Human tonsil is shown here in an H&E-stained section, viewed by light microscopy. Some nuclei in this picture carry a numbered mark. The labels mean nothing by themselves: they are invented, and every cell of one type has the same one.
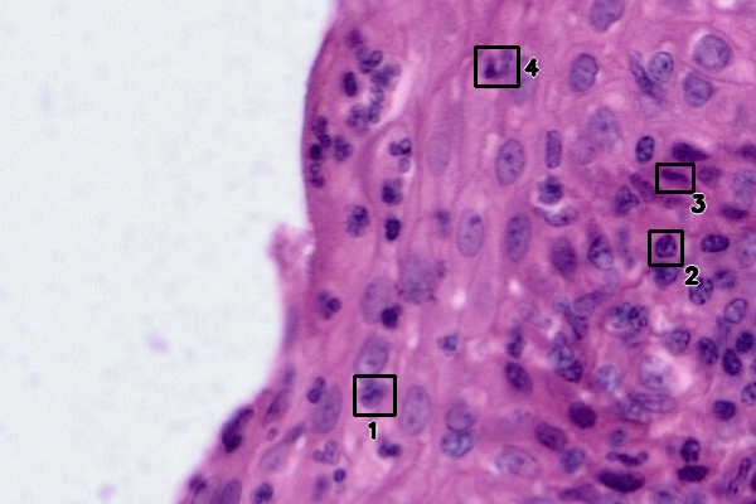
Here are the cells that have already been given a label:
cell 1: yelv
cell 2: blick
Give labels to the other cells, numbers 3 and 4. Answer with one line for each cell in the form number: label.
3: yelv
4: yelv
